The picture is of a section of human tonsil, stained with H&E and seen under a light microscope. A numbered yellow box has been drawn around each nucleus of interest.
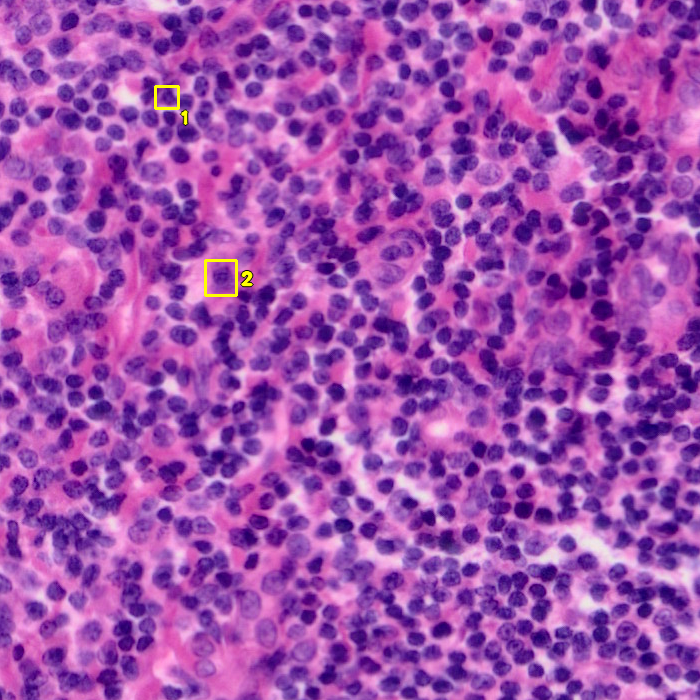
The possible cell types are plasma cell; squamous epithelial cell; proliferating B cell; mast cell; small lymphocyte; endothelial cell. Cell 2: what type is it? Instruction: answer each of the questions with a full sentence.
In this section, number 2 marks an endothelial cell.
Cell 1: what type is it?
The cell pointed out as number 1 is a small lymphocyte.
